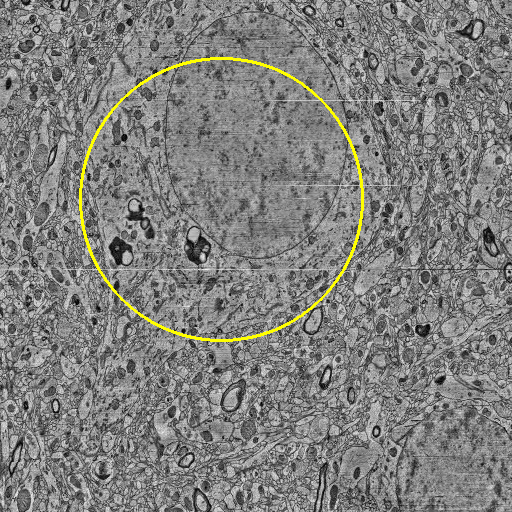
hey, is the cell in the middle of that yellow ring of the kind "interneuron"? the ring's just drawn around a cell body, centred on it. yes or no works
no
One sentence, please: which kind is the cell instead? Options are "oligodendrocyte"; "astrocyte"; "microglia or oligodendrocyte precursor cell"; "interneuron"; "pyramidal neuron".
Instead, the ring surrounds a pyramidal neuron in this picture.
